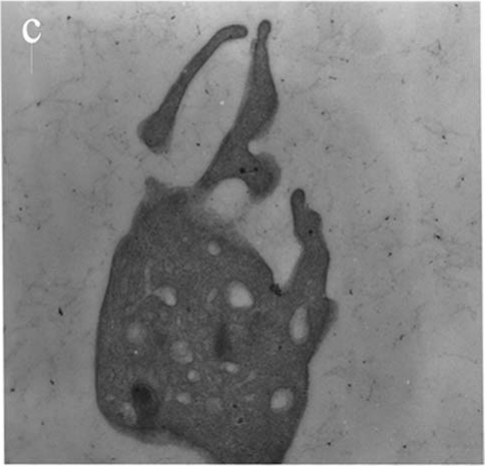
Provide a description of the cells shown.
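This electron micrograph shows a single anucleate platelet whose outline has lost its smooth shape. Several long, slender finger-like pseudopodia with rounded, club-shaped tips extend from one side of the cell body. The cytoplasm is moderately dense and contains numerous small round pale vesicles and a few darker bodies.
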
